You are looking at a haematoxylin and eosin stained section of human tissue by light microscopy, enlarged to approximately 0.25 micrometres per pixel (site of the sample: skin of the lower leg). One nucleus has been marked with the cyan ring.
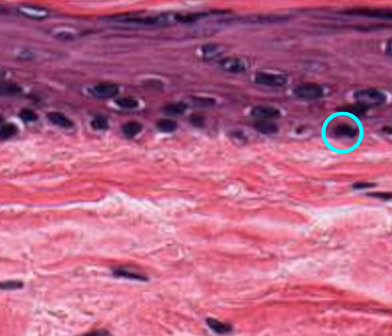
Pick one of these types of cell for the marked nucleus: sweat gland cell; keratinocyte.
keratinocyte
